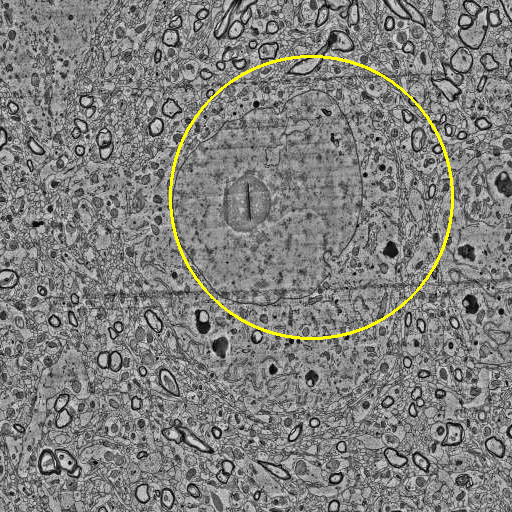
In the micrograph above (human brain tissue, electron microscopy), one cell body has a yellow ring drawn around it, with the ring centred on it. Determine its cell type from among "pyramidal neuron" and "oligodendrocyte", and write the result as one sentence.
The cell whose body is ringed is a pyramidal neuron.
